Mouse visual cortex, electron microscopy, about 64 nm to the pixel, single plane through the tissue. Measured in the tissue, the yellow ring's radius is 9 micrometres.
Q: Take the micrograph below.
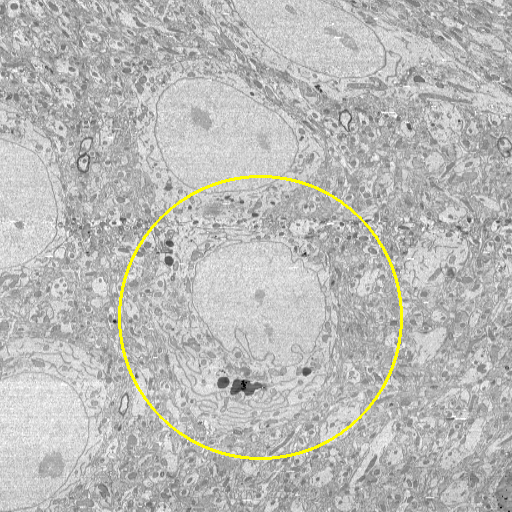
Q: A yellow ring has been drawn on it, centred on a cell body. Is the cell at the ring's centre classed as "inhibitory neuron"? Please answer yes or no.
Yes, that is its kind.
